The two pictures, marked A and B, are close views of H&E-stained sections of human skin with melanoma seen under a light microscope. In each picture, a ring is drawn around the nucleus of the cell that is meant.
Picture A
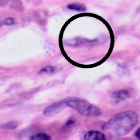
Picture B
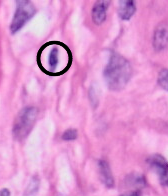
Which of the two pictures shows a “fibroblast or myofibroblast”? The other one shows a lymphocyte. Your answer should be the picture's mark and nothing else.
A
